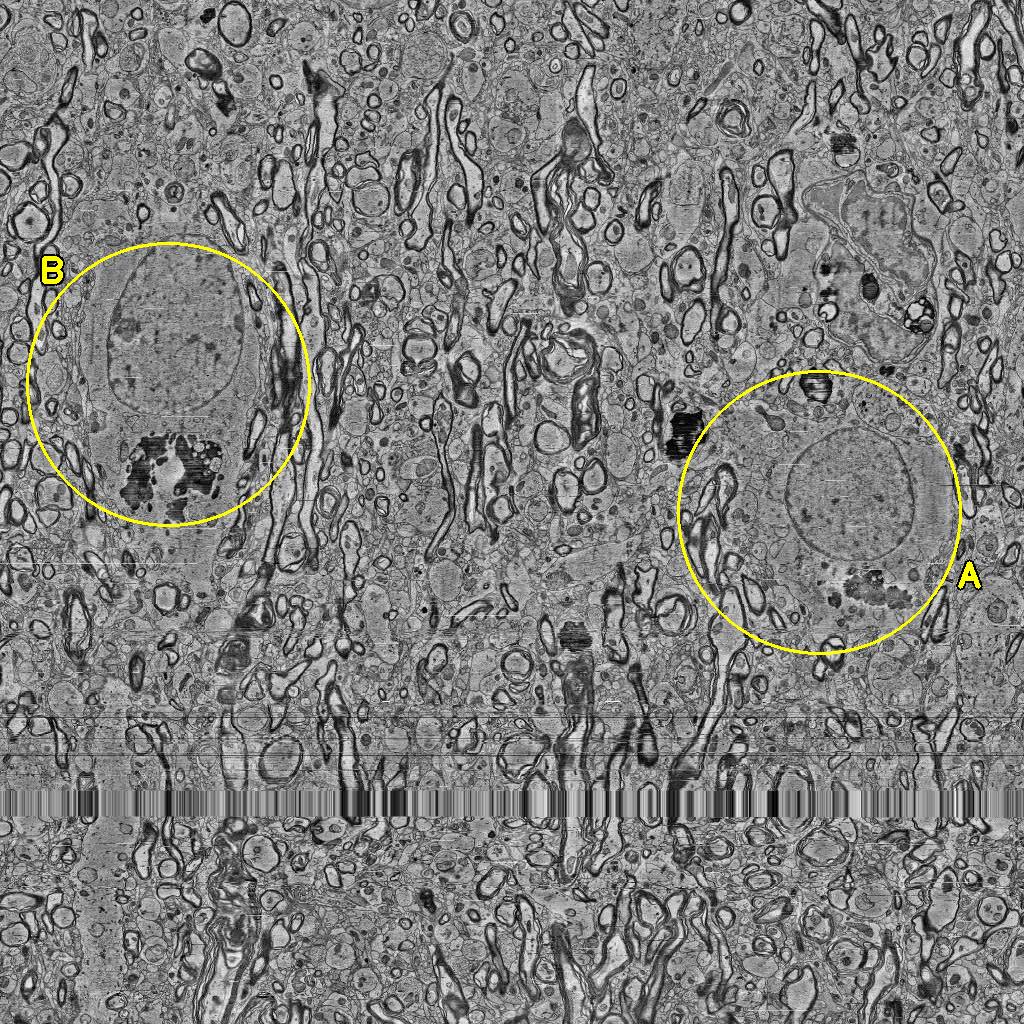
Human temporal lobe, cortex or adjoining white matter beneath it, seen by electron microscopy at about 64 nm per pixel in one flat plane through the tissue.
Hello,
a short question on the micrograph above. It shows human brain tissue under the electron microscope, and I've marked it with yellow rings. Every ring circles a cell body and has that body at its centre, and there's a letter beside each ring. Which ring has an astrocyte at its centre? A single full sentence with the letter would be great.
The cell you asked about sits at the centre of ring B.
